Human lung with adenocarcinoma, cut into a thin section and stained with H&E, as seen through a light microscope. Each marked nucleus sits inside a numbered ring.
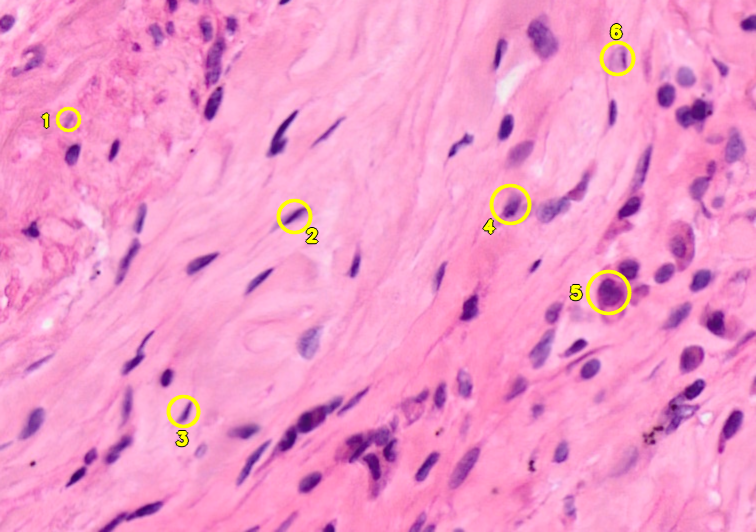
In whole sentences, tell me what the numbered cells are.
Cell 1 is a smooth muscle cell or pericyte, cell 2 is a fibroblast, cell 3 is a fibroblast, cell 4 is a plasma cell, cell 5 is a plasma cell and cell 6 is a fibroblast.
